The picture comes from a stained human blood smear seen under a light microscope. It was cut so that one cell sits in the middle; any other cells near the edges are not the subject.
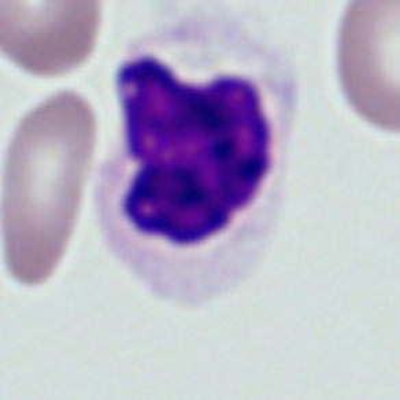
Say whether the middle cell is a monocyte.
no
